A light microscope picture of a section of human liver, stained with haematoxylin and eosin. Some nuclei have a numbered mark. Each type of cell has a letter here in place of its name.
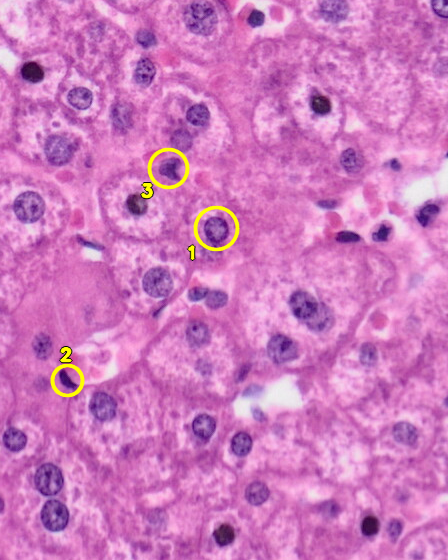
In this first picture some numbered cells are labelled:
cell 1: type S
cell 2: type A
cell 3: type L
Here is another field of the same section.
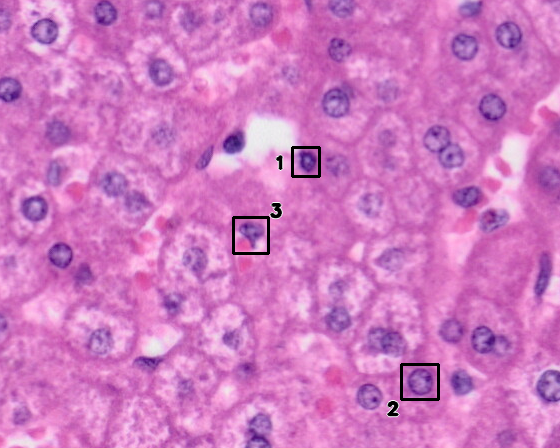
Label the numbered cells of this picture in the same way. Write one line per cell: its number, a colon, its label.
1: type A
2: type S
3: type L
